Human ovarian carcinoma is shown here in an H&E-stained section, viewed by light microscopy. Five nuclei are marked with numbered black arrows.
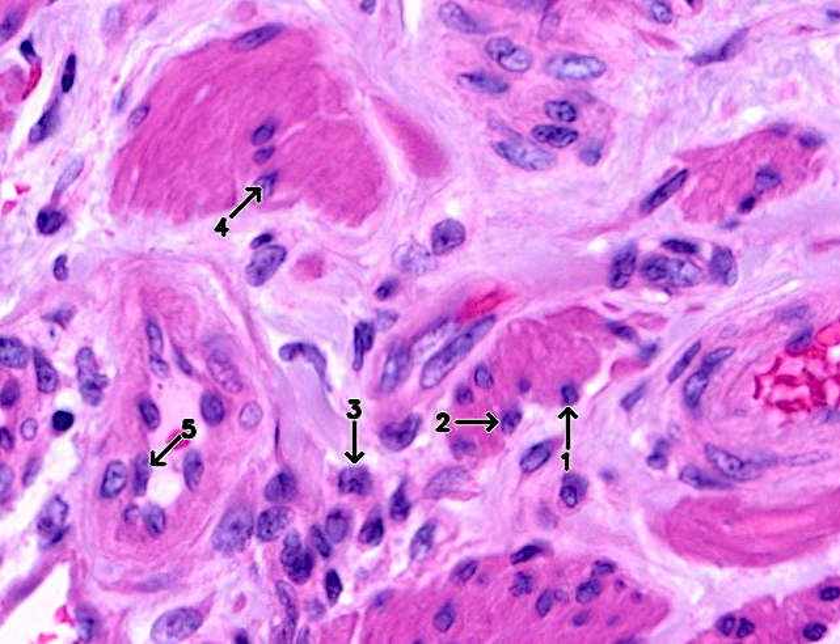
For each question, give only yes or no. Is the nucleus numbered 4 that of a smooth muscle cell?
yes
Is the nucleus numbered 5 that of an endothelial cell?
yes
